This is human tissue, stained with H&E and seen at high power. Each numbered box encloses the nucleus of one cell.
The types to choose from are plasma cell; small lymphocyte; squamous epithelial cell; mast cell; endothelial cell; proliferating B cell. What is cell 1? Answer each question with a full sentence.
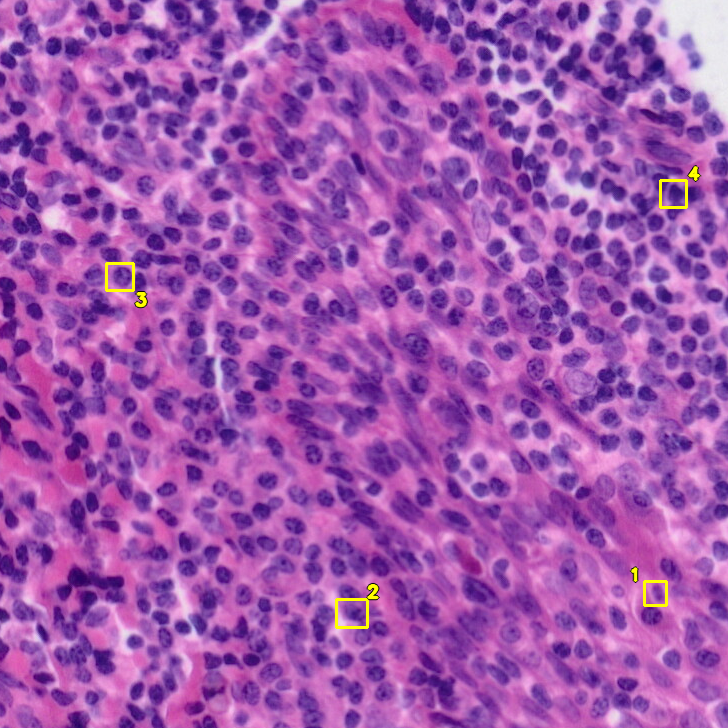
The numbered cell 1 in this field is a squamous epithelial cell.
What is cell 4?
The one labeled 4 is a small lymphocyte, to put it simply.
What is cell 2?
The cell assigned the number 2 is a plasma cell.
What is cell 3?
Regarding cell 3, this one is a plasma cell.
